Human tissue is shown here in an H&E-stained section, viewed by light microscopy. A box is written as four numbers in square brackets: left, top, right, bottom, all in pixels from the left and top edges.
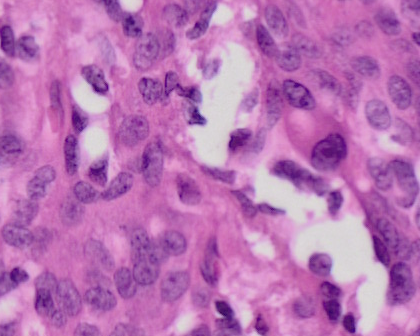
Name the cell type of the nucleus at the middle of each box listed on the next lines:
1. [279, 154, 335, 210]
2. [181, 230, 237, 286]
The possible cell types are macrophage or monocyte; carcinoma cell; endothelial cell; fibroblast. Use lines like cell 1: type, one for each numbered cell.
cell 1: carcinoma cell
cell 2: endothelial cell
